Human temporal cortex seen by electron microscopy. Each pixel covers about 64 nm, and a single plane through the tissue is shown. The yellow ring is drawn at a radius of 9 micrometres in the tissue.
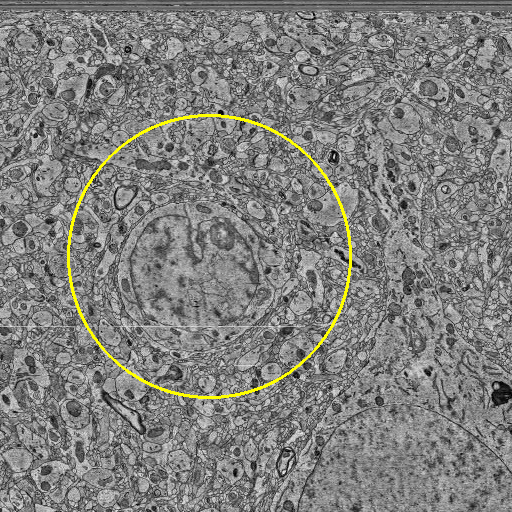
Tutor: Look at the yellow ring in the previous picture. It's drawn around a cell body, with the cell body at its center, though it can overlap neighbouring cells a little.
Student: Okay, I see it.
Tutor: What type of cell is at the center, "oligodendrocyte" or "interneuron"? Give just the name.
interneuron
